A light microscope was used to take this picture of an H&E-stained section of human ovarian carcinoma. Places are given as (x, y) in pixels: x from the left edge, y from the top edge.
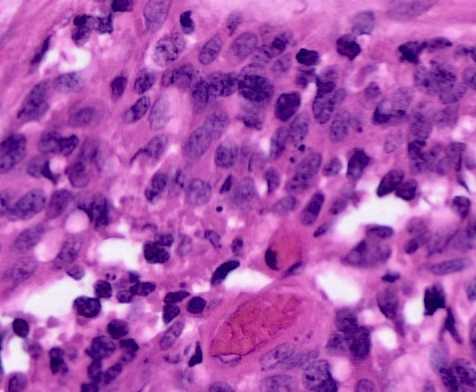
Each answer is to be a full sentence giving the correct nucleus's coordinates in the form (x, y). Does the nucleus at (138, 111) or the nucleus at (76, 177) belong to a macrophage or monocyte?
The one nucleus of the two that belongs to a macrophage or monocyte is at (138, 111).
